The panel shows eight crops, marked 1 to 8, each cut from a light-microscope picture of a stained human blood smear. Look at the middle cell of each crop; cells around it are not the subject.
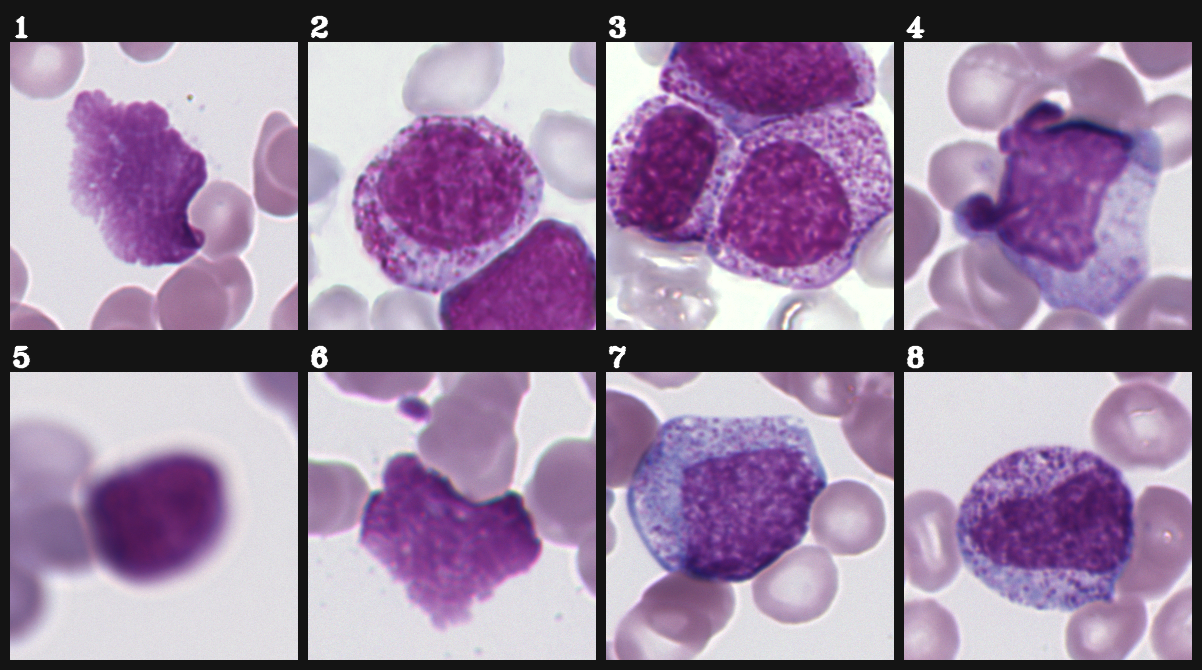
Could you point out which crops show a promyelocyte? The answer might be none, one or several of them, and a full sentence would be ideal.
Across all the crops, not one shows a promyelocyte.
